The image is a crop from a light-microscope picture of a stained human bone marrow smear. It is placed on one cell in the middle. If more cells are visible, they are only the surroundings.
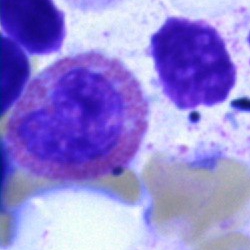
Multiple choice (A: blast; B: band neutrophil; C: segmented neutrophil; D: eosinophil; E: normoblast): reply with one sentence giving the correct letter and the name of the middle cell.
The cell centered in the crop is an eosinophil, making option D the correct pick.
